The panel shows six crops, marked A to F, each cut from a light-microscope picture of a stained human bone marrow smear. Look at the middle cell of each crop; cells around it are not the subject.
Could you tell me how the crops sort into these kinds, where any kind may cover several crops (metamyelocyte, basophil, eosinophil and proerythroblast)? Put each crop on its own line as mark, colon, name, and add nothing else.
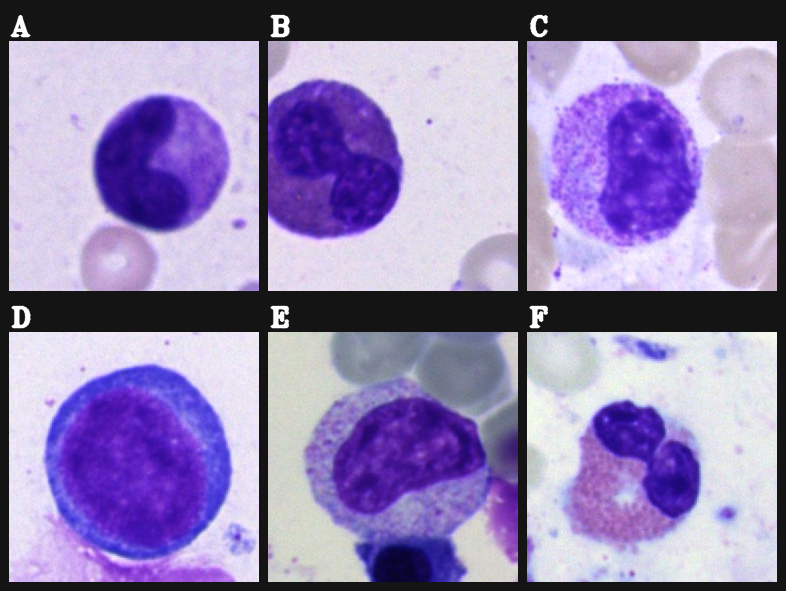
A: metamyelocyte
B: eosinophil
C: metamyelocyte
D: proerythroblast
E: metamyelocyte
F: eosinophil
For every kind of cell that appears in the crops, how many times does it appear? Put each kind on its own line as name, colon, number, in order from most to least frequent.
metamyelocyte: 3
eosinophil: 2
proerythroblast: 1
